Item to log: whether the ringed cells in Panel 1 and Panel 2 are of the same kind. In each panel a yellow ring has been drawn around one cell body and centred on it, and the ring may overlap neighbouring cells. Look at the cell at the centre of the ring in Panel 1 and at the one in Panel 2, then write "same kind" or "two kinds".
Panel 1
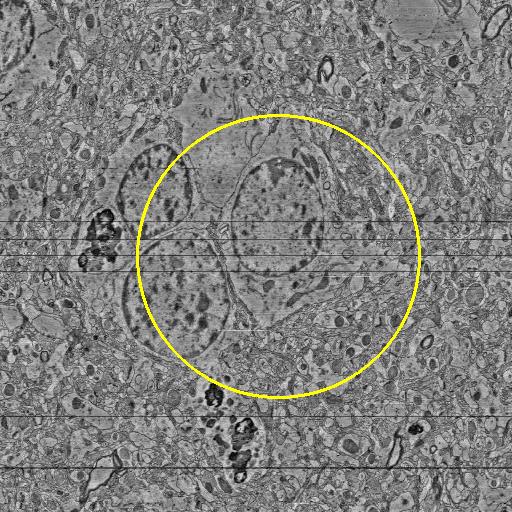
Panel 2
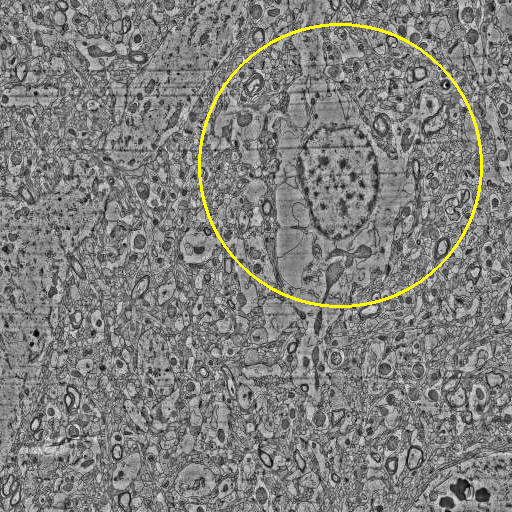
same kind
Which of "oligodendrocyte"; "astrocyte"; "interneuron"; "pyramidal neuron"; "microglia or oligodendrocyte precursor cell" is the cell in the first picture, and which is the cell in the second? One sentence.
Both cells are the same kind, each one being an astrocyte.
